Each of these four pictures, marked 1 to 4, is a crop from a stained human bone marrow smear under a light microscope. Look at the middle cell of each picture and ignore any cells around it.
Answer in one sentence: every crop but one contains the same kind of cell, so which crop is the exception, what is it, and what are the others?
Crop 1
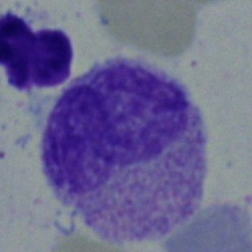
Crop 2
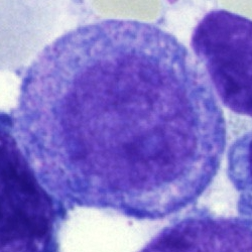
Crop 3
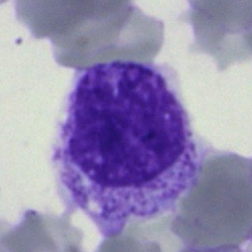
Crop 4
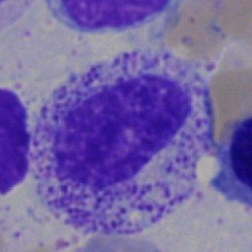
Crop 2 is the exception in this set, showing a promyelocyte while the others show myelocytes.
